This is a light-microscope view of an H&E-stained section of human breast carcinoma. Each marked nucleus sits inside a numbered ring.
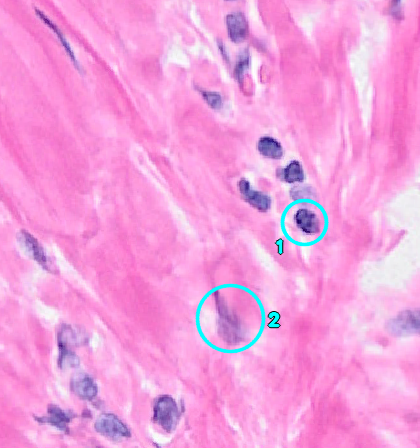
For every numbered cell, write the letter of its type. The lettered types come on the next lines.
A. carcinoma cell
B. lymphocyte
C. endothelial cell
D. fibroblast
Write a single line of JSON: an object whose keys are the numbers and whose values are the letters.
{"1": "B", "2": "D"}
